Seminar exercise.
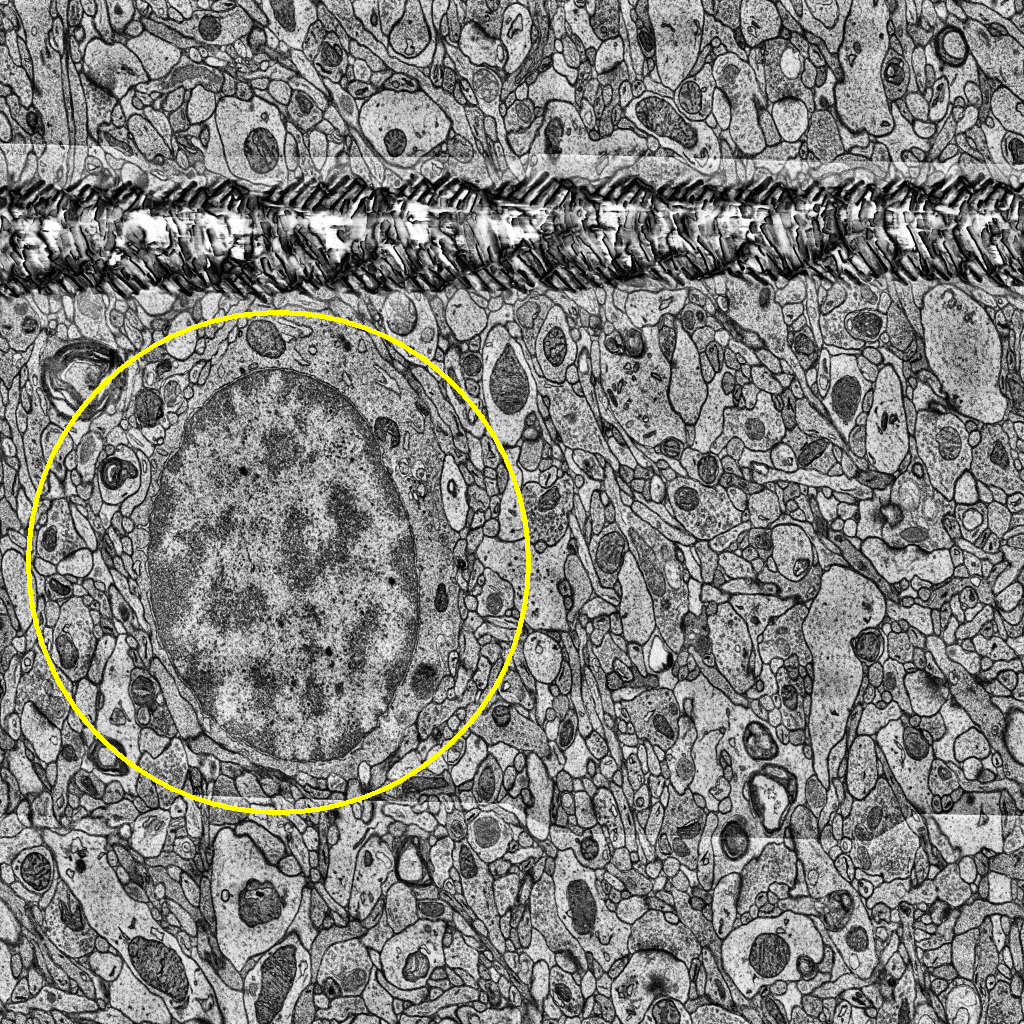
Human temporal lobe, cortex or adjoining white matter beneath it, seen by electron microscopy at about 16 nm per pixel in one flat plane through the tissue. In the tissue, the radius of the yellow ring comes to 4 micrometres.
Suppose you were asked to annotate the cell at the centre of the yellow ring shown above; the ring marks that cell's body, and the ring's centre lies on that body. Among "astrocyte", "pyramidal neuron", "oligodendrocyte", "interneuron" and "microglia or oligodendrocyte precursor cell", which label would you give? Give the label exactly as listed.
oligodendrocyte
